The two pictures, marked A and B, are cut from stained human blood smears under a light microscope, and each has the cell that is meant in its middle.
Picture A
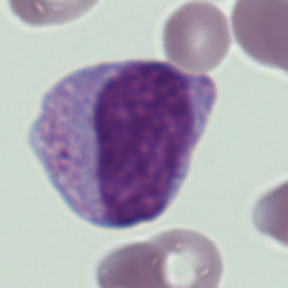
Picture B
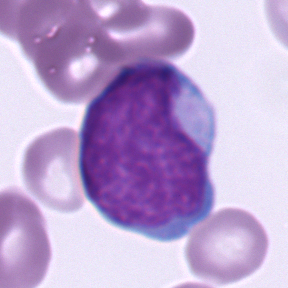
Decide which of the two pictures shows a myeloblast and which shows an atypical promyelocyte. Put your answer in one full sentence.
In picture A the cell is an atypical promyelocyte; in picture B, a myeloblast.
